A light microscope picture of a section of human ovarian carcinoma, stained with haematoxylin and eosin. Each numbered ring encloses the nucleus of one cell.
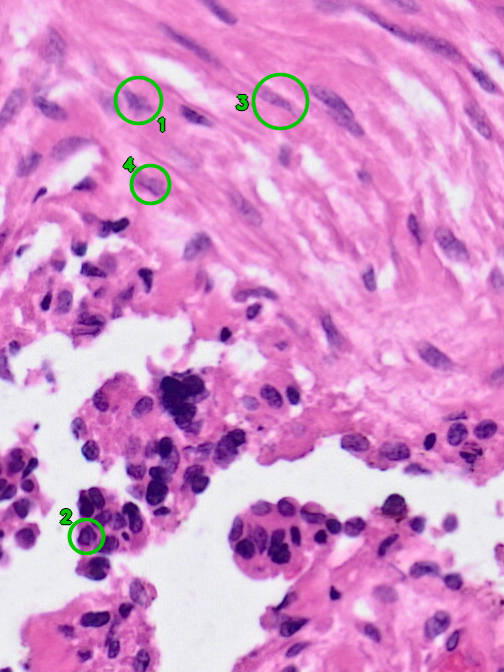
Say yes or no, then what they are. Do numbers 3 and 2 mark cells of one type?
No, listen: cell 3 is a fibroblast and cell 2 is a carcinoma cell.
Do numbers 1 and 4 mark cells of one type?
Yes, in short, cells 1 and 4 are both fibroblasts.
